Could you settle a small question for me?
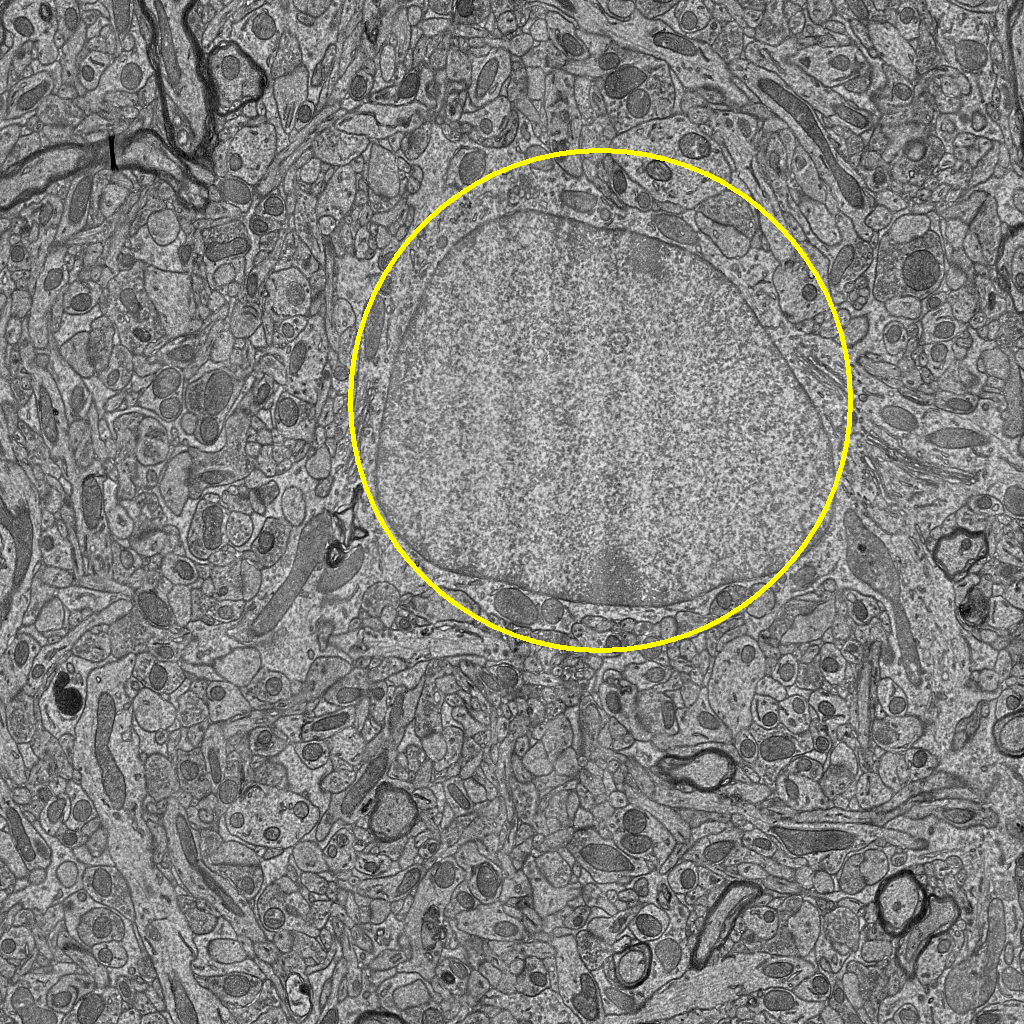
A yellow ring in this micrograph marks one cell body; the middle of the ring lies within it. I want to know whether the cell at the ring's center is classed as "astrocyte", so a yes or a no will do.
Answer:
yes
